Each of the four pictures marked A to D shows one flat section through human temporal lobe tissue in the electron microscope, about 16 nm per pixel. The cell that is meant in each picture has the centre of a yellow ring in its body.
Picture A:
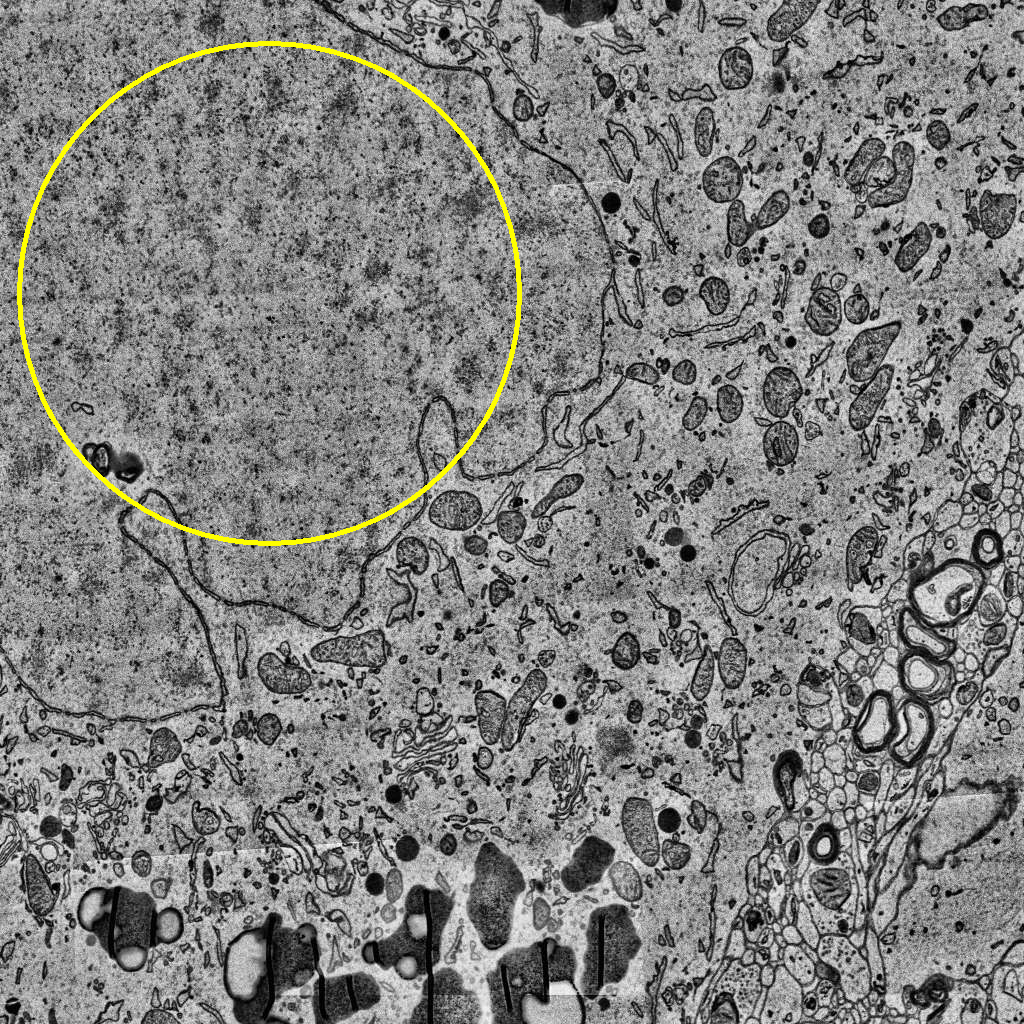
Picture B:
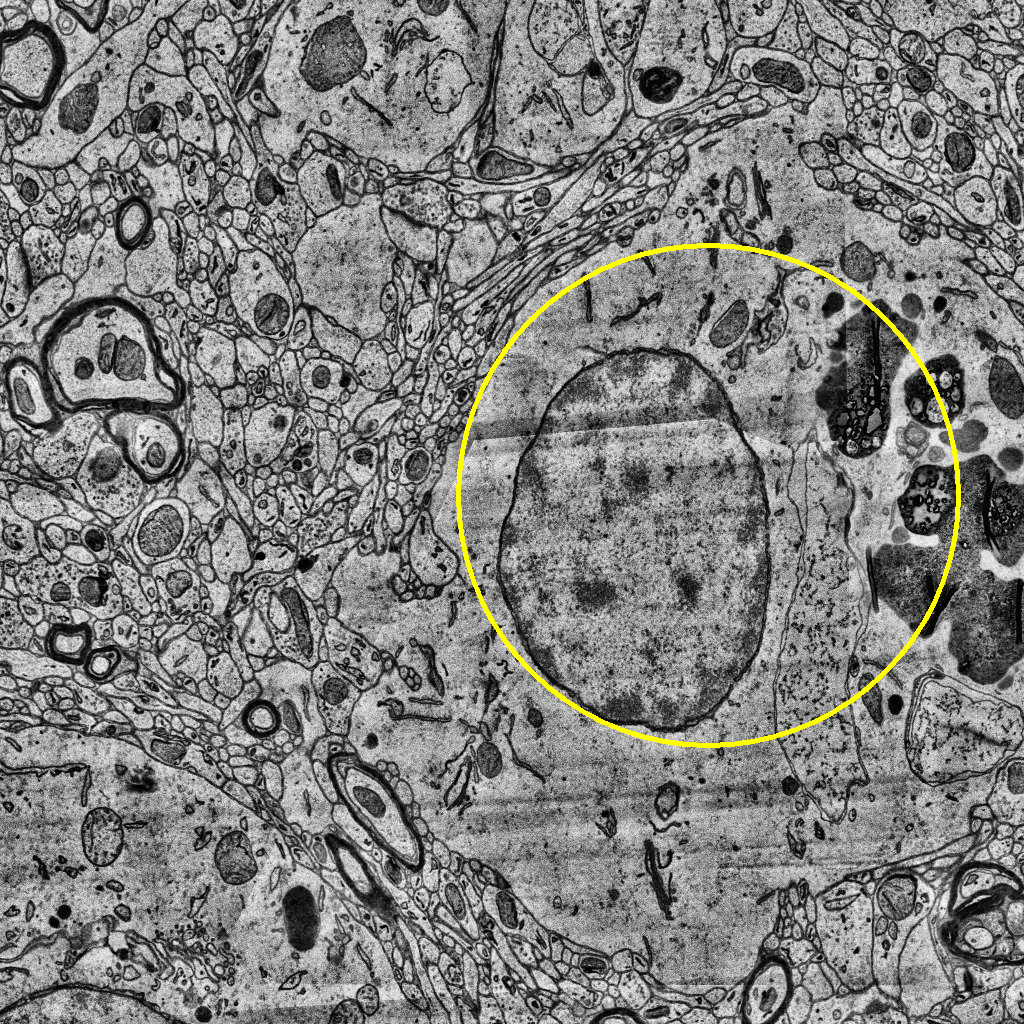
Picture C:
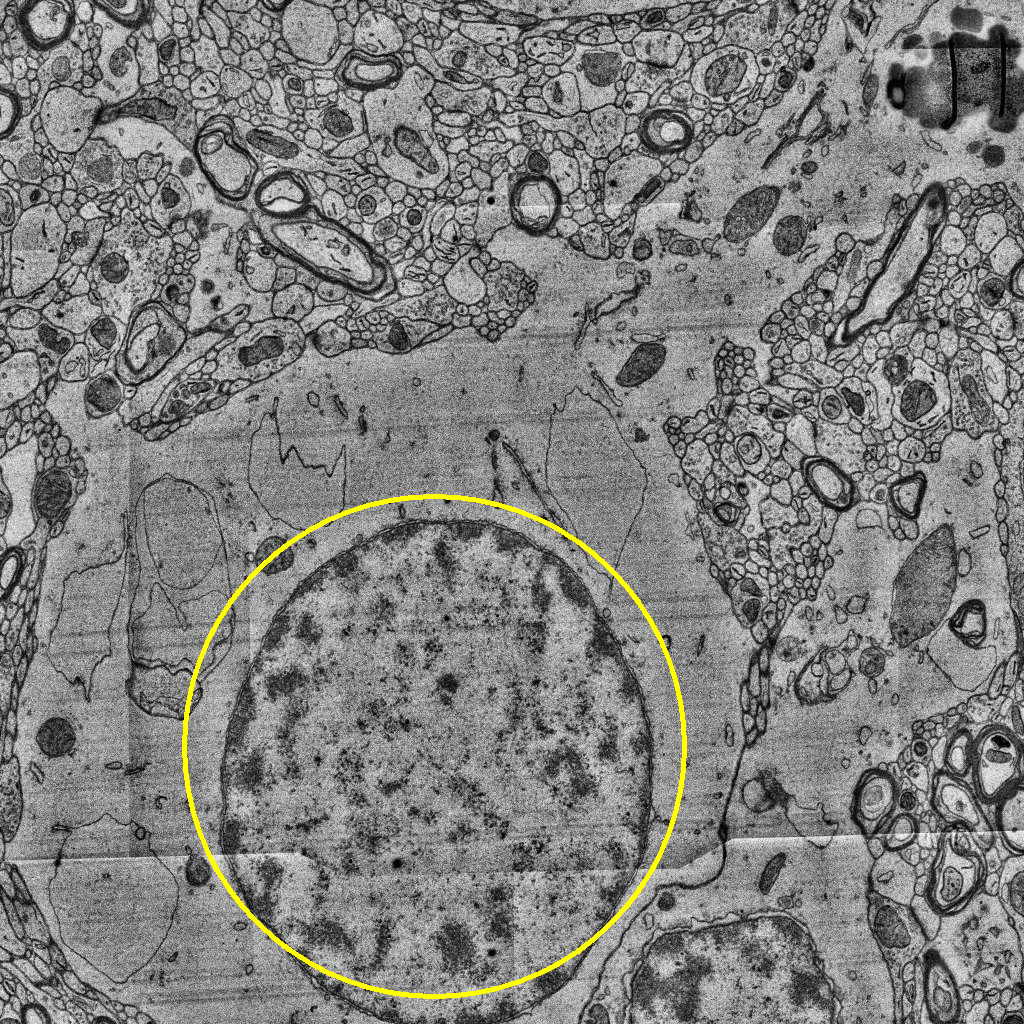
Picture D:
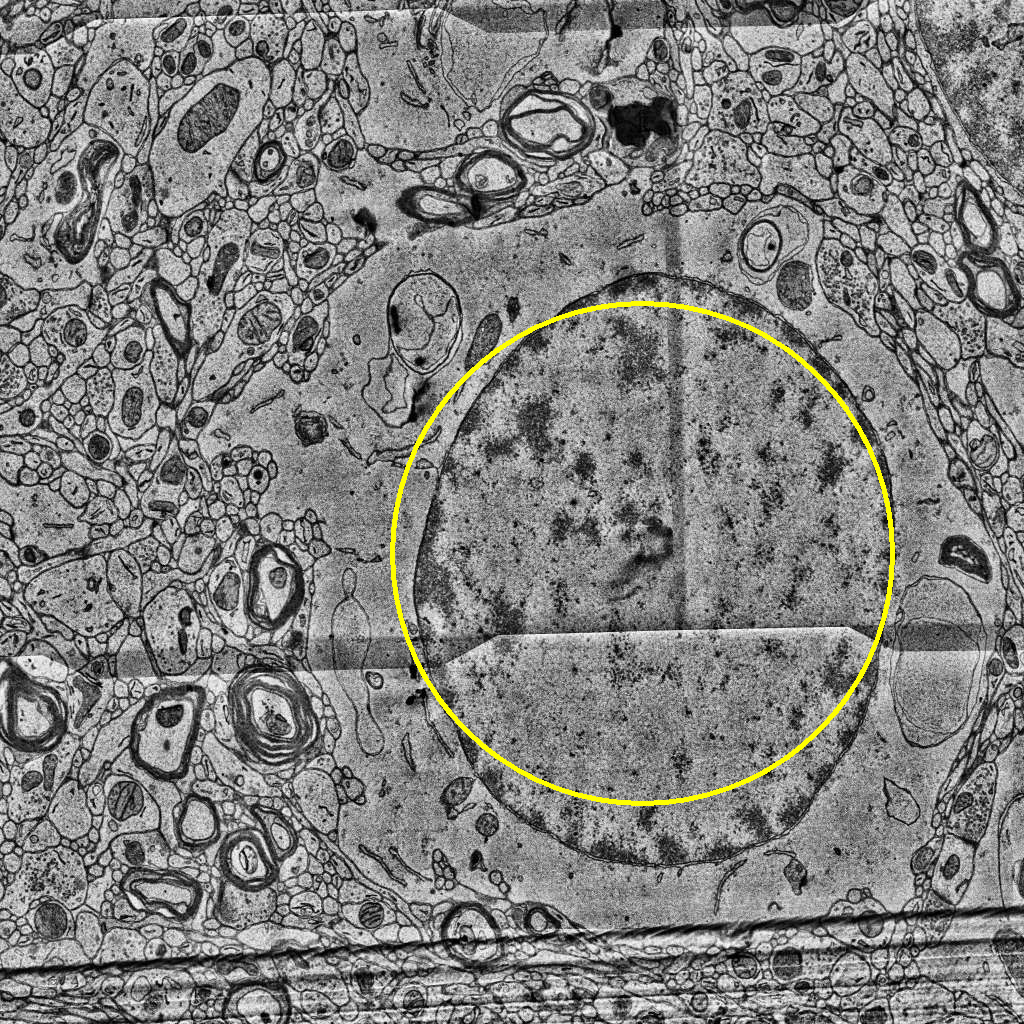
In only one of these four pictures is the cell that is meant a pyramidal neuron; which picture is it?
The picture with the pyramidal neuron is A.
